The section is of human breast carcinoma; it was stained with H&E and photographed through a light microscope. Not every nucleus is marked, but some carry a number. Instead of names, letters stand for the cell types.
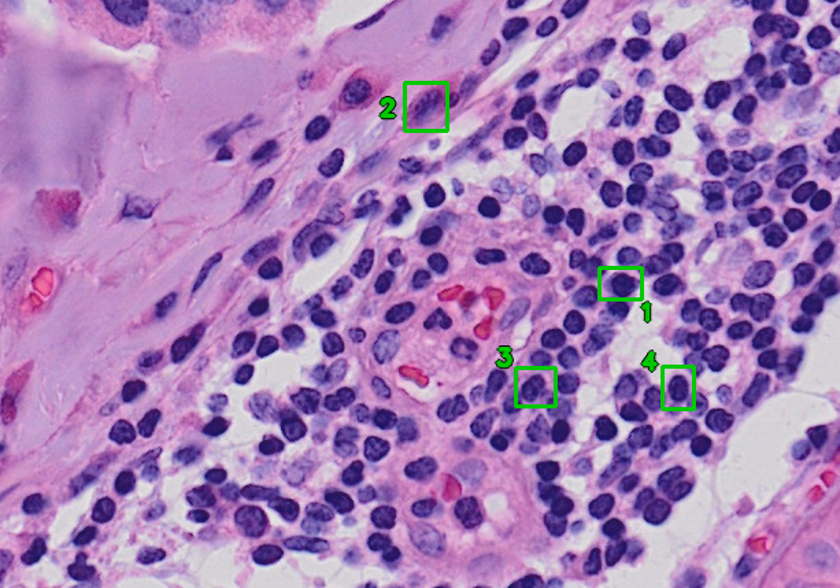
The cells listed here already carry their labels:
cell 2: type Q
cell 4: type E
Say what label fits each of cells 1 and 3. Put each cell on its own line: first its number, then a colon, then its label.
1: type E
3: type E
